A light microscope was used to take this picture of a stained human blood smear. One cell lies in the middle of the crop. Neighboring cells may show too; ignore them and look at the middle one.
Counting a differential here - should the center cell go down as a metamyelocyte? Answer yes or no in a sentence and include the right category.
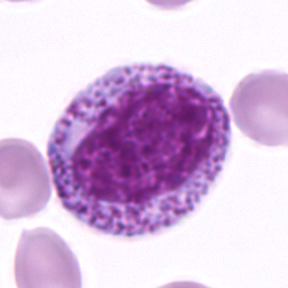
No, the centre cell is not a metamyelocyte but a myelocyte.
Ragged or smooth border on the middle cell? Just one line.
A smooth, projection-free outline is what this cell has.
